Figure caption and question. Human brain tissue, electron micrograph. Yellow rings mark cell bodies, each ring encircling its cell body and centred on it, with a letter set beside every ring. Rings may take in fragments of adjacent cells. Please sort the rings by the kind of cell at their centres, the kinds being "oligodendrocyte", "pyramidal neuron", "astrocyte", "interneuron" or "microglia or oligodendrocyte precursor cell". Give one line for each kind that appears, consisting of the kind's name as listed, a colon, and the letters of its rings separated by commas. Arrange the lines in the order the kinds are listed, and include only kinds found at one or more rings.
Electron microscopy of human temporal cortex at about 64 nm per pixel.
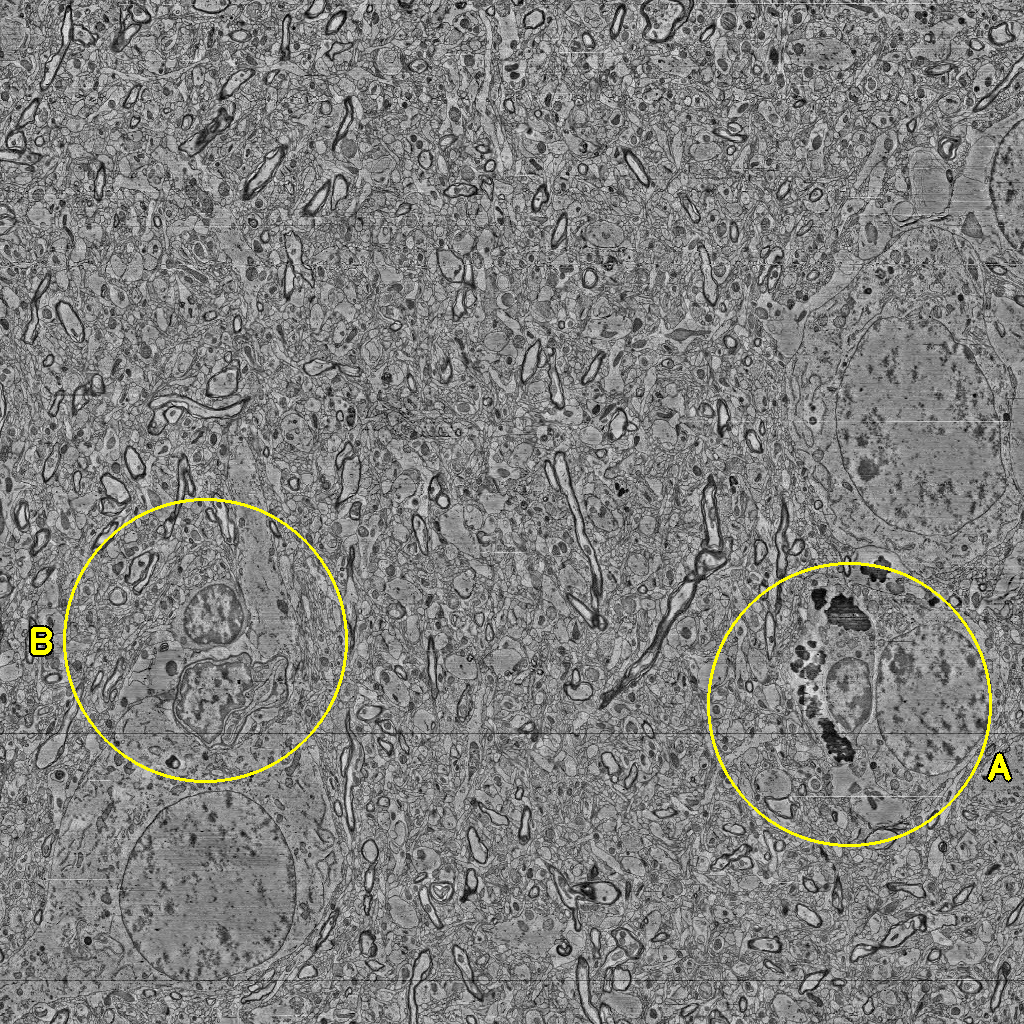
oligodendrocyte: B
microglia or oligodendrocyte precursor cell: A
